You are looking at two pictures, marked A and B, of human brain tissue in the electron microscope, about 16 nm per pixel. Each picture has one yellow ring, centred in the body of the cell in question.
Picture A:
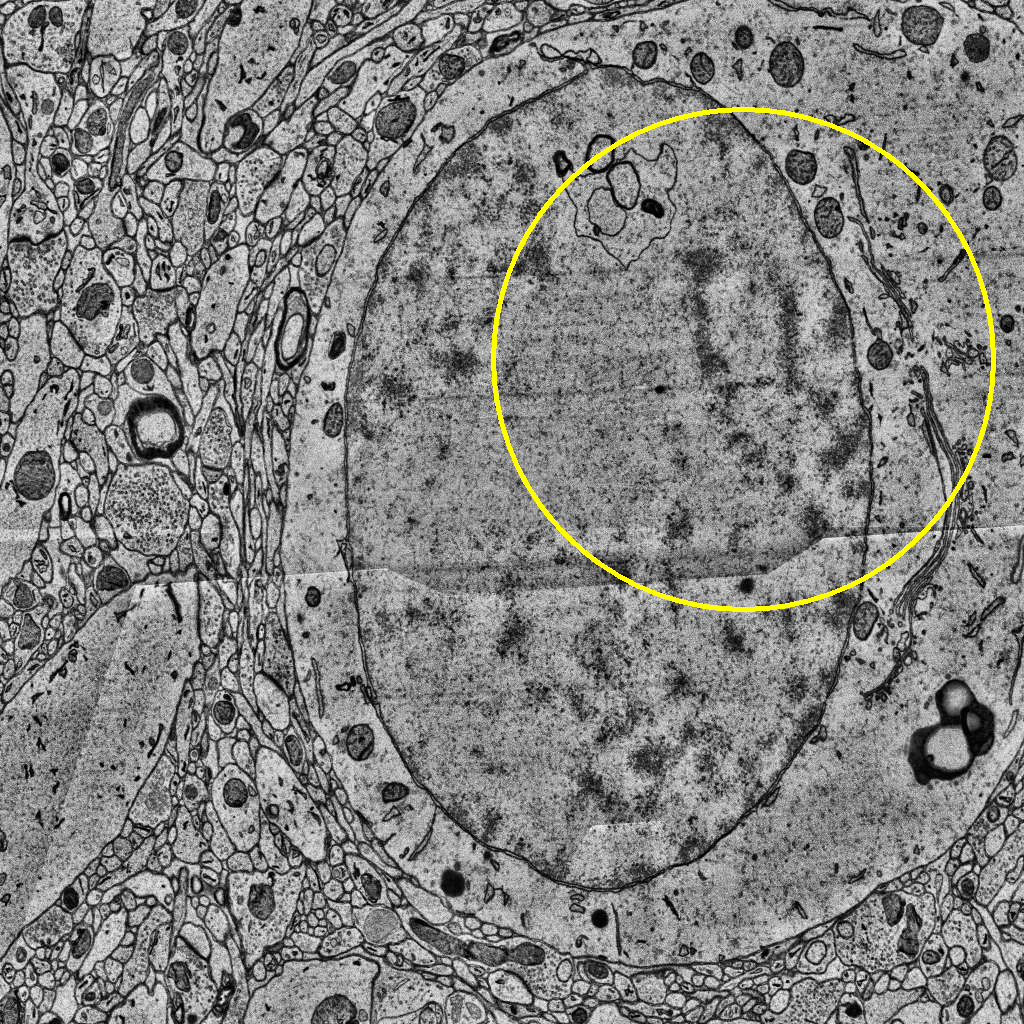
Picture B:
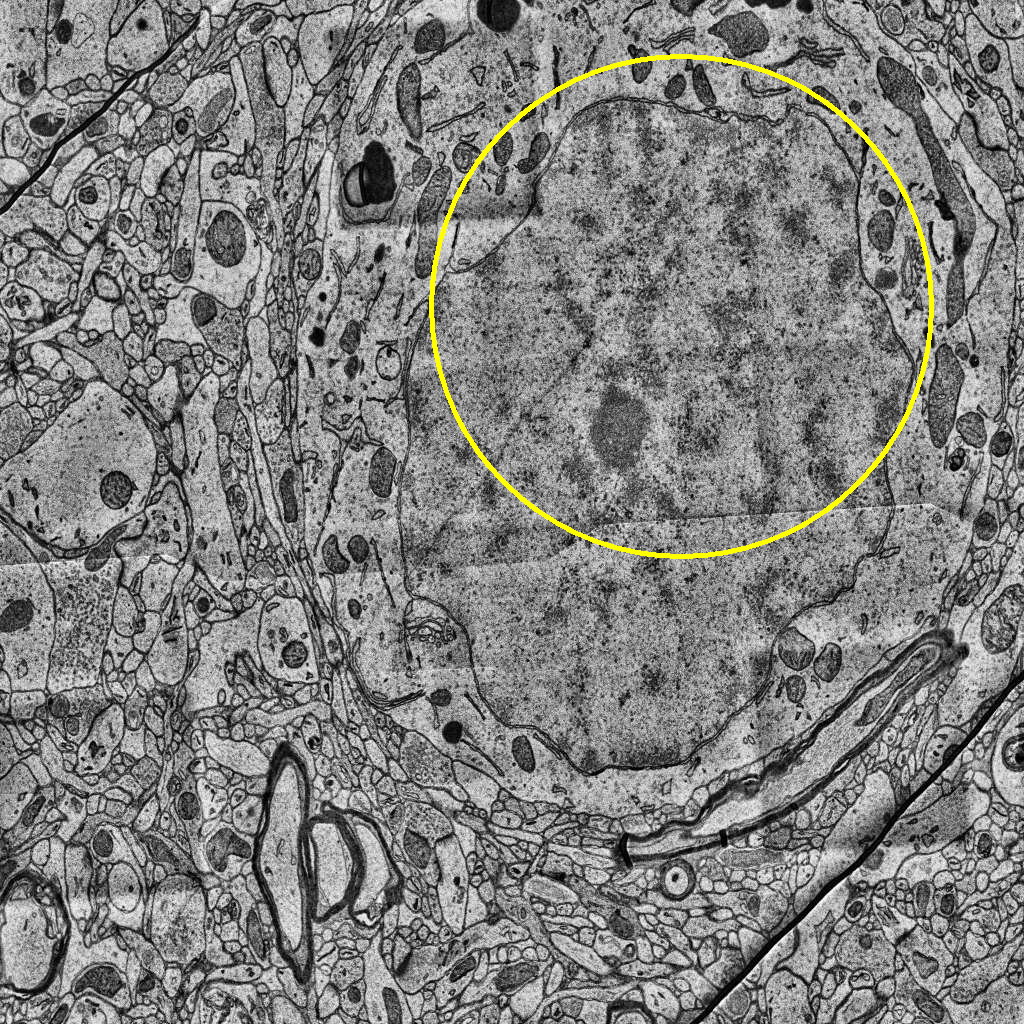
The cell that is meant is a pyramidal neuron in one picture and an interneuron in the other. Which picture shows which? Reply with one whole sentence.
In picture A the cell is a pyramidal neuron; in picture B, an interneuron.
